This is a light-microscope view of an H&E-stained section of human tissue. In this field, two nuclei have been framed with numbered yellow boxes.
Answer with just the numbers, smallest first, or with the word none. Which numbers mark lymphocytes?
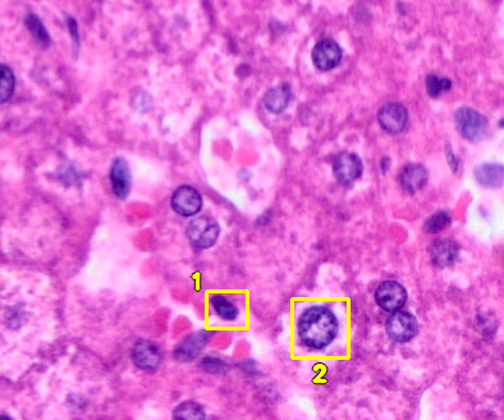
1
